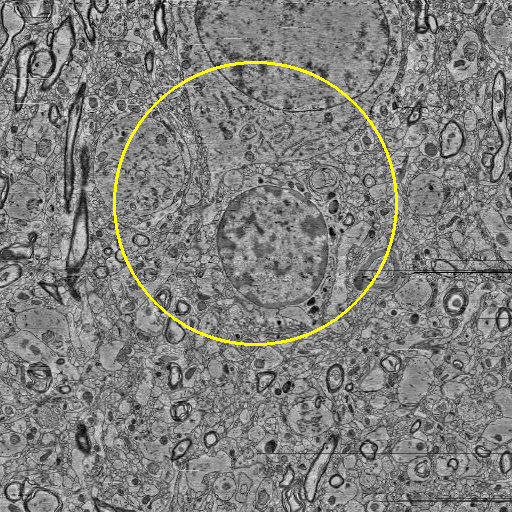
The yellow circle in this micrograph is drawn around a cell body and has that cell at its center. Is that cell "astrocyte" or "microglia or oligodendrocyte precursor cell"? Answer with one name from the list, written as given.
microglia or oligodendrocyte precursor cell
